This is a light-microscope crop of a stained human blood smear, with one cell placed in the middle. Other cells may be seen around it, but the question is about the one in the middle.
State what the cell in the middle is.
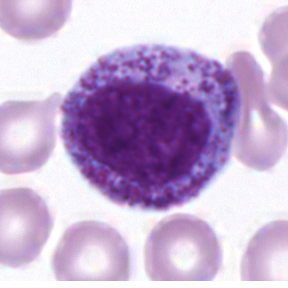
promyelocyte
